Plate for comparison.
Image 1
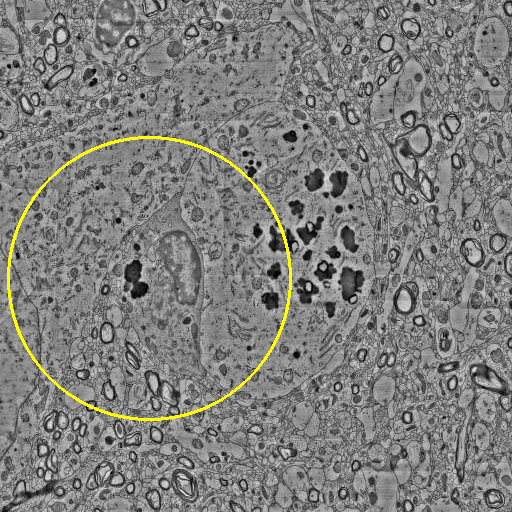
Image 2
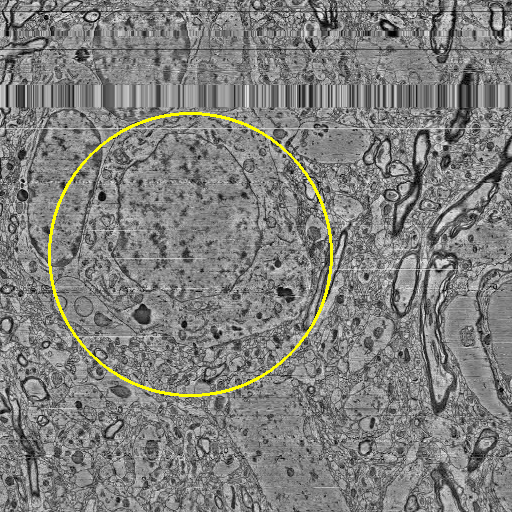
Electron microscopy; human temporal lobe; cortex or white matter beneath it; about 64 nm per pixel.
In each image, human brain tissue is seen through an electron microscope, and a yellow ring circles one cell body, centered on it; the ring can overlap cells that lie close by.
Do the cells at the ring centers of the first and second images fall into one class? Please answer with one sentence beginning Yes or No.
No, the first and second images show two classes of cell at the ring centers.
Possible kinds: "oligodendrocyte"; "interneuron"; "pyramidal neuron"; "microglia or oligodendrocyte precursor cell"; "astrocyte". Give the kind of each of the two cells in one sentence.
The cell in the second picture is an interneuron, and that in the first is an oligodendrocyte.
